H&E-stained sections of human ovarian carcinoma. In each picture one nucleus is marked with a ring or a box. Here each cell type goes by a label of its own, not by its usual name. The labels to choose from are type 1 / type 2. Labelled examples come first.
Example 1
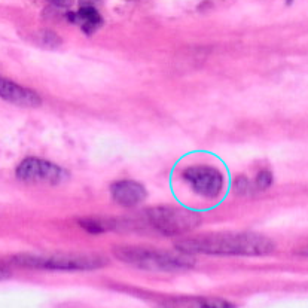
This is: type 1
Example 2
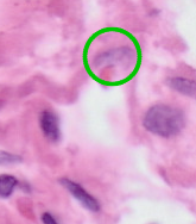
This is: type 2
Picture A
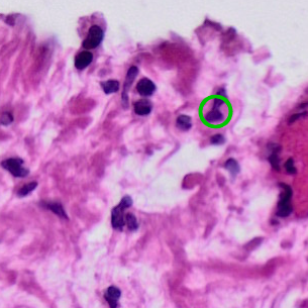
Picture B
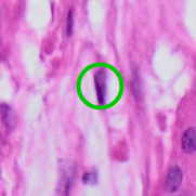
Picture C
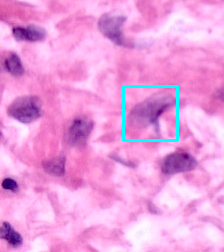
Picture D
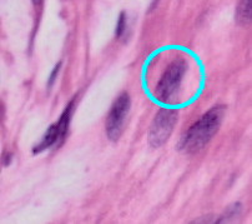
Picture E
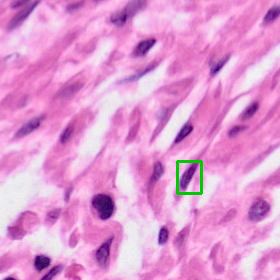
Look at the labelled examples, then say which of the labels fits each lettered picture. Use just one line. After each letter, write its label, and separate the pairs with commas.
A type 1, B type 2, C type 2, D type 2, E type 2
